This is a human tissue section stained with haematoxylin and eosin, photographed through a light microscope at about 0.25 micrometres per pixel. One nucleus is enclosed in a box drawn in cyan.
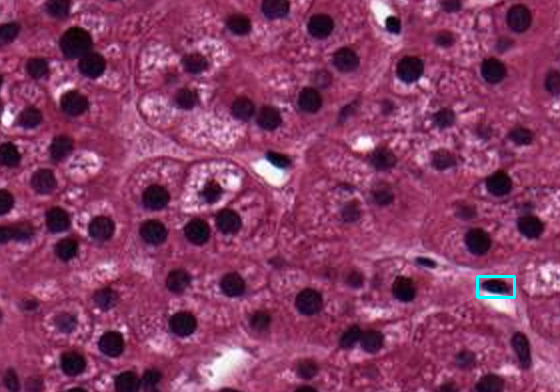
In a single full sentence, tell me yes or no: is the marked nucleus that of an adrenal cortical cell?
No, the marked nucleus, rather than belonging to an adrenal cortical cell, belongs to a supporting cell.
